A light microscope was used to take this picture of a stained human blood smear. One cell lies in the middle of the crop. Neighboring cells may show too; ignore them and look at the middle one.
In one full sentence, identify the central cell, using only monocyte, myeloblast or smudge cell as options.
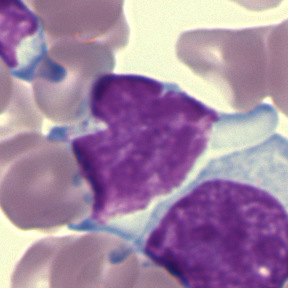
In the centre of this crop there is a myeloblast.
